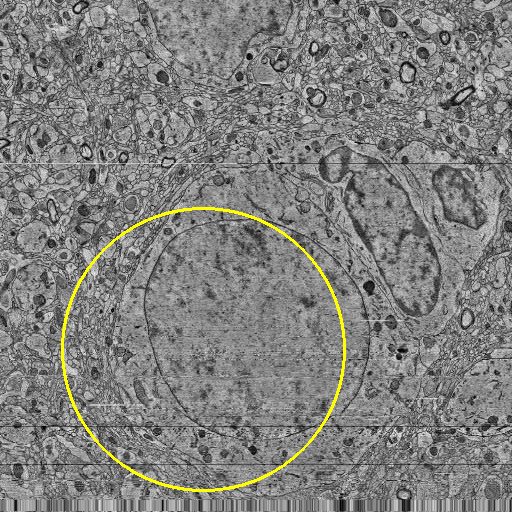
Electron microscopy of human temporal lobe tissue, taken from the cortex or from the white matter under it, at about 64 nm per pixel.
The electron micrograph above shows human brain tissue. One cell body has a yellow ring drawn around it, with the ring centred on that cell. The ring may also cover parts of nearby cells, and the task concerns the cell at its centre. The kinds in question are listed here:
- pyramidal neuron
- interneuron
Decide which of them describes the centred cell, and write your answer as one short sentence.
The centred cell is a pyramidal neuron.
